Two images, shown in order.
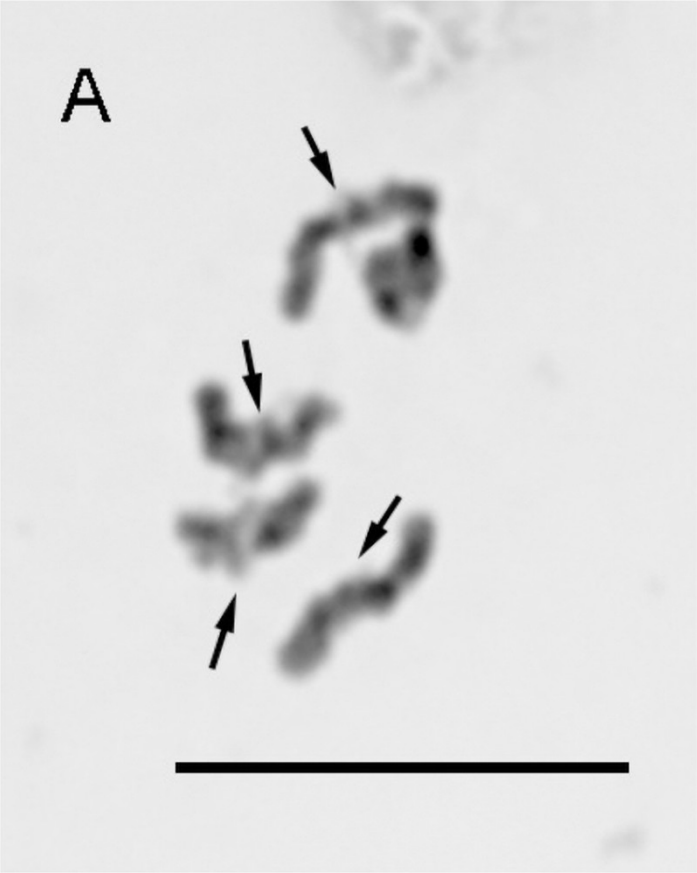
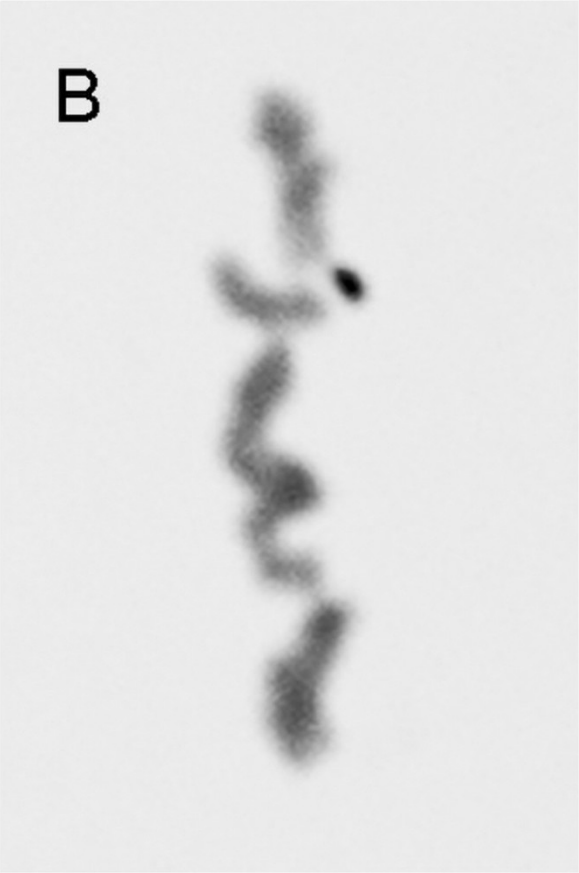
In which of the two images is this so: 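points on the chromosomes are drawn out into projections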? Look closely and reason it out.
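First image: several chromosomes show pulled-out or pinched points marked by arrows. The answer: the first image.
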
